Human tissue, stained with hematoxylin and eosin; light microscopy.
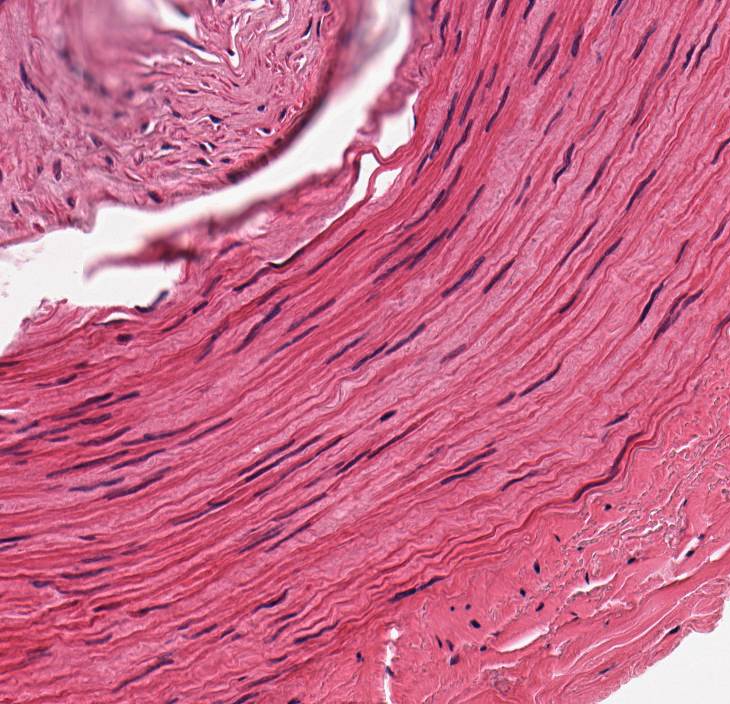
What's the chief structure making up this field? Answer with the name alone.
tunica media of an artery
